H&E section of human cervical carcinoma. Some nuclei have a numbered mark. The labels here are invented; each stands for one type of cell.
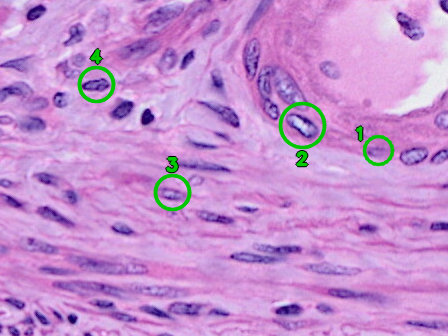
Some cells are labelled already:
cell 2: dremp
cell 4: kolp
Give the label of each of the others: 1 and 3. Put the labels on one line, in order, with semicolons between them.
dremp; dremp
